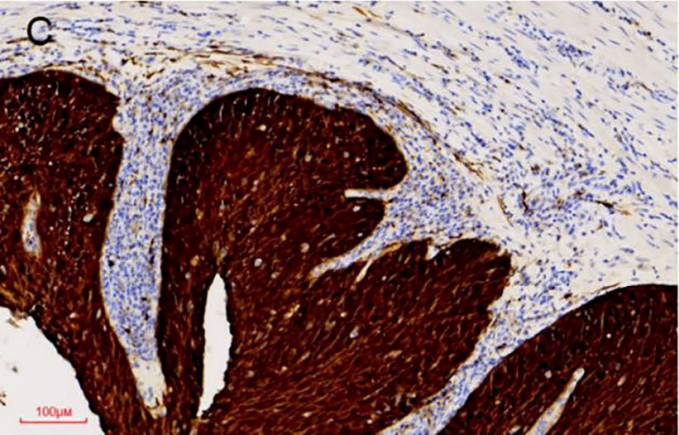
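Branching, finger-like solid masses of tumour cells are set in a fibrous stroma. The crowded tumour cells are diffusely stained dark brown, whereas the stromal cells between the masses have elongated blue nuclei and pale cytoplasm. A few small clefts and spaces open within the brown masses.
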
